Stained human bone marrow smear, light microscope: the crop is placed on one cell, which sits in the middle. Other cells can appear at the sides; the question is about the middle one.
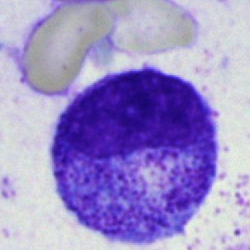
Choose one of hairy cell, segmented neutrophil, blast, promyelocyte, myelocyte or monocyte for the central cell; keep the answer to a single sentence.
The cell at the middle of the crop is recognized as a myelocyte.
